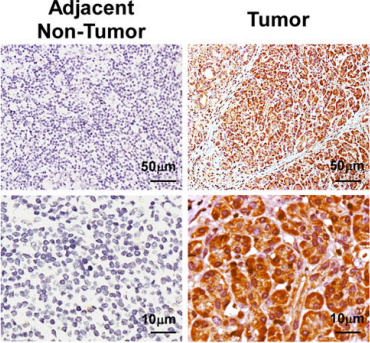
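On the left, the tissue is a dense sheet of small cells with round, blue nuclei and pale cytoplasm, and there is almost no brown colour. On the right, the tumor cells are polygonal, with ample cytoplasm that is stained a strong brown, and their nuclei show blue against it. At low power, the tumor cells lie in nests and cords separated by thin, pale strands of connective tissue. At high power, the cell borders and the round nuclei of the tumor cells can be made out within the brown cytoplasm.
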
